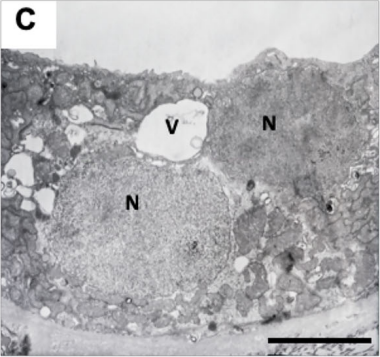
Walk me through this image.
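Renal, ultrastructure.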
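Distal tubular epithelial cells are seen resting on a basement membrane, with large round nuclei of fine granular chromatin. The cytoplasm holds several clear, empty-looking vacuoles, one large vacuole lying between two nuclei, and the border of the nucleus appears indistinct.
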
